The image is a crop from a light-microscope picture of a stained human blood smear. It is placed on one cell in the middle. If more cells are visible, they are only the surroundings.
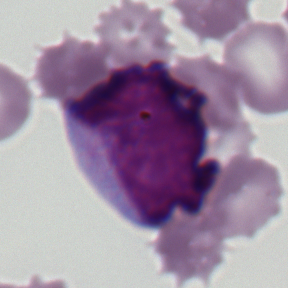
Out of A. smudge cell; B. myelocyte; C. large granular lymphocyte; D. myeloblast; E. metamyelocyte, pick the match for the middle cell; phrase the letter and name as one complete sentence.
Option D, which names the central cell as a myeloblast, is correct.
